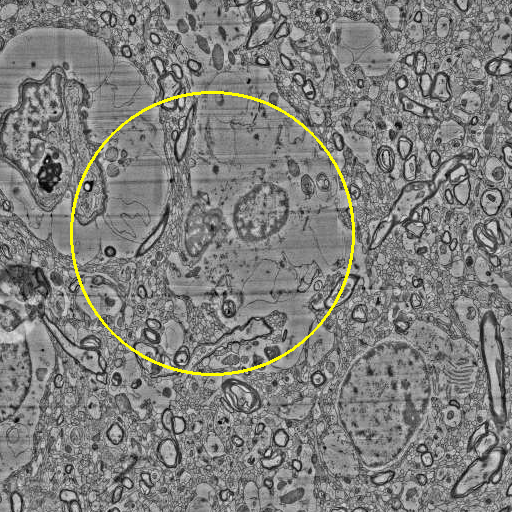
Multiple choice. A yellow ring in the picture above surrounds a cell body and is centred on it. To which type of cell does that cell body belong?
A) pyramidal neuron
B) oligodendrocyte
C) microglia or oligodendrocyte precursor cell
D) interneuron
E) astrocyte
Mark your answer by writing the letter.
B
